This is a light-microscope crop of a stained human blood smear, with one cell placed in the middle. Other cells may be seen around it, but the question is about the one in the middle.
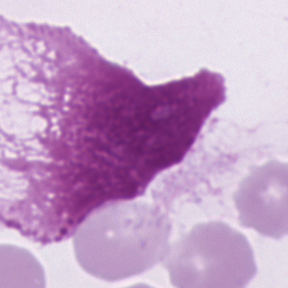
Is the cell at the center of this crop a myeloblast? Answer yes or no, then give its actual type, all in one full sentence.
No, what lies at the heart of the crop is a smudge cell, not a myeloblast.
